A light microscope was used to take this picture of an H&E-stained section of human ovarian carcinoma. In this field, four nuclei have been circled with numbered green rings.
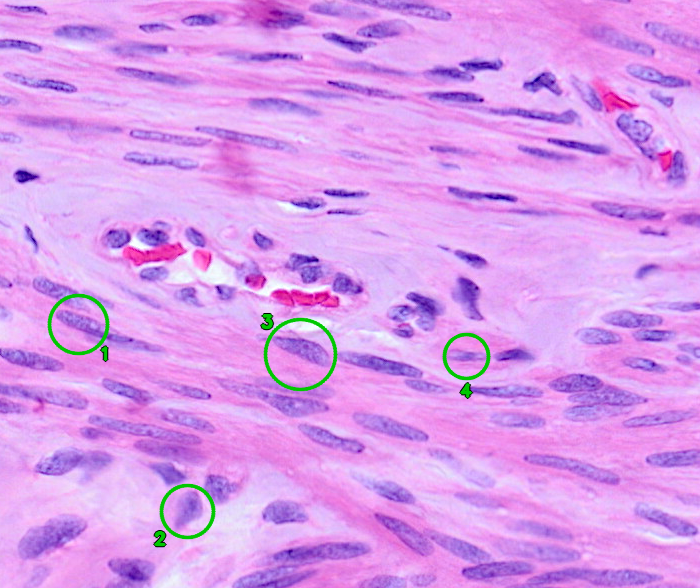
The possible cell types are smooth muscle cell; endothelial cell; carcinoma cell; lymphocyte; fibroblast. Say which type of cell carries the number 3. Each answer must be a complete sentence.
Corresponding to a smooth muscle cell is the cell labelled 3.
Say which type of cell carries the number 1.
The cell marked with the number 1 is a smooth muscle cell.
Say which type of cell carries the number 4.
The cell carrying label 4 is identified as a smooth muscle cell.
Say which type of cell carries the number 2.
The cell referred to as 2 is a fibroblast.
